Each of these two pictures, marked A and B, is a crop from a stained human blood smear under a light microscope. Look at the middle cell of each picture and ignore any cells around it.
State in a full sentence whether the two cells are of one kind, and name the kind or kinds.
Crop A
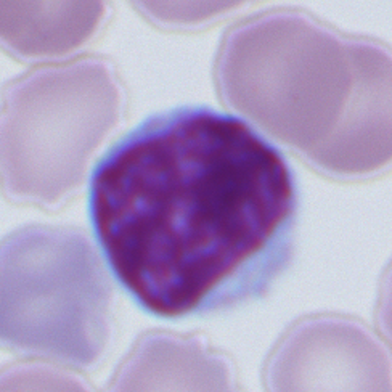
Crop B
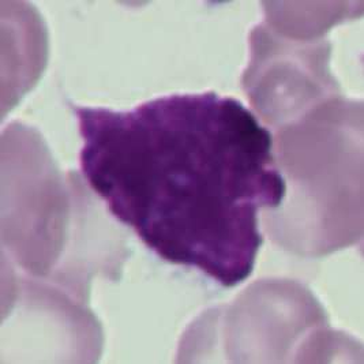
No, crop A shows a typical lymphocyte, and crop B, by contrast, shows a smudge cell.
